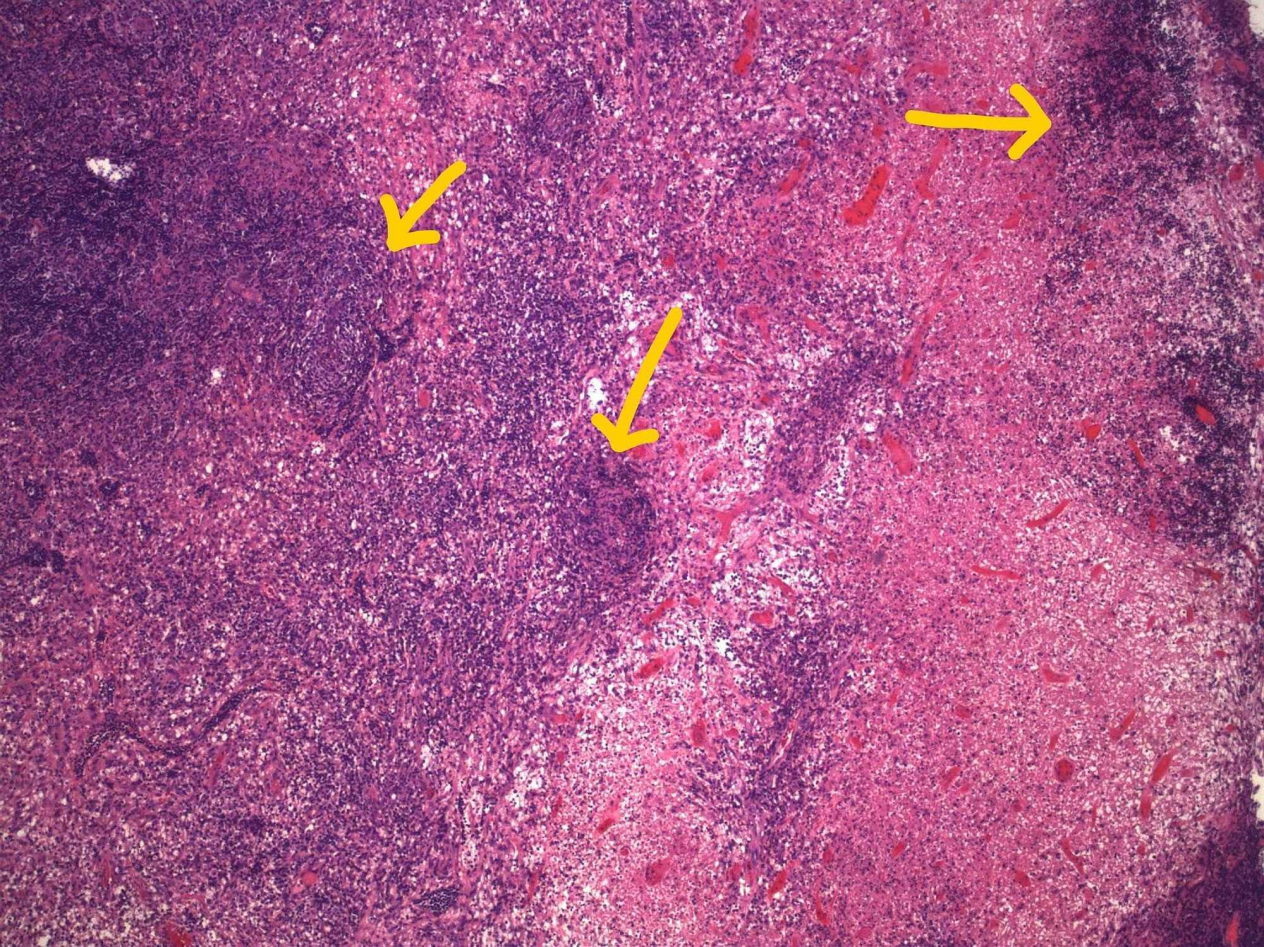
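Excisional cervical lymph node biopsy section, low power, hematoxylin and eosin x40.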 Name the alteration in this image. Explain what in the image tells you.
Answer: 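Irregular pale pink, poorly cellular zones lie between darker purple cellular areas. The pale zones contain scattered dark nuclear fragments rather than intact dense cell sheets.
Patchy areas of necrosis.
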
